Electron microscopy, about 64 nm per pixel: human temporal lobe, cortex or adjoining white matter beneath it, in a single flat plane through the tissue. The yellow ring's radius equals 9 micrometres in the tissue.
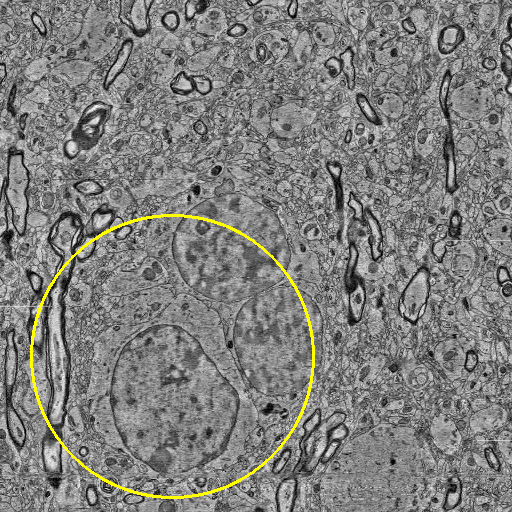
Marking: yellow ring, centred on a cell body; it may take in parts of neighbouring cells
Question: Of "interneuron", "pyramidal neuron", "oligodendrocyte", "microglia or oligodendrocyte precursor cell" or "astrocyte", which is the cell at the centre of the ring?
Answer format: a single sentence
The ring surrounds the body of a microglial cell or oligodendrocyte precursor cell.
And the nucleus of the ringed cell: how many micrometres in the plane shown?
The nucleus comes to roughly 10 by 8 micrometres in this plane.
